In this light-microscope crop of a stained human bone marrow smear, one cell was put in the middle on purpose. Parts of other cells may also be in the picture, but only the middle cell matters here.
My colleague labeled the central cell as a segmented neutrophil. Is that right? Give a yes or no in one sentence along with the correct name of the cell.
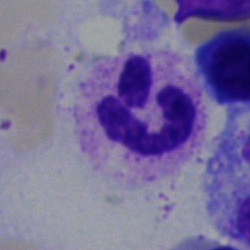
Yes, the cell lying in the middle is a segmented neutrophil.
